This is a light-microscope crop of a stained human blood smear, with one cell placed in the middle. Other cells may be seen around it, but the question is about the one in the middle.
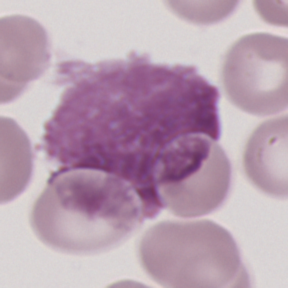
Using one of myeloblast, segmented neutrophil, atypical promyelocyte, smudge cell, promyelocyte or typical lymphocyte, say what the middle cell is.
smudge cell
